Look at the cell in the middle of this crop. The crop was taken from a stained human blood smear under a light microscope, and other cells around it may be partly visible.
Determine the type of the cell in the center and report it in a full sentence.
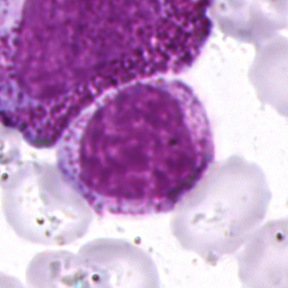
For this crop, the central cell is a myelocyte.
